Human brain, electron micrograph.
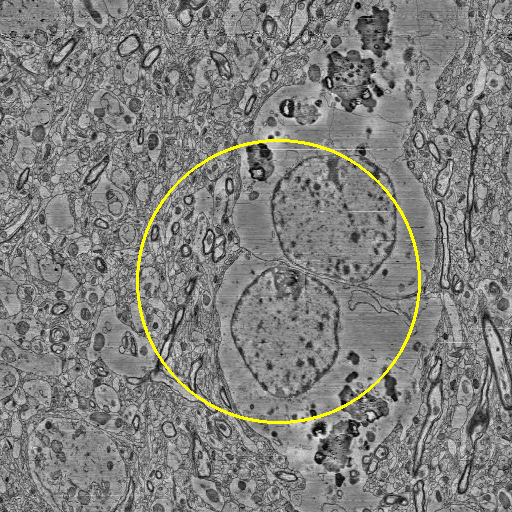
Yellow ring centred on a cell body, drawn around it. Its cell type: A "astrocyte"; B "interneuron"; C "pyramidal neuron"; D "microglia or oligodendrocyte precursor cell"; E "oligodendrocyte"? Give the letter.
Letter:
A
